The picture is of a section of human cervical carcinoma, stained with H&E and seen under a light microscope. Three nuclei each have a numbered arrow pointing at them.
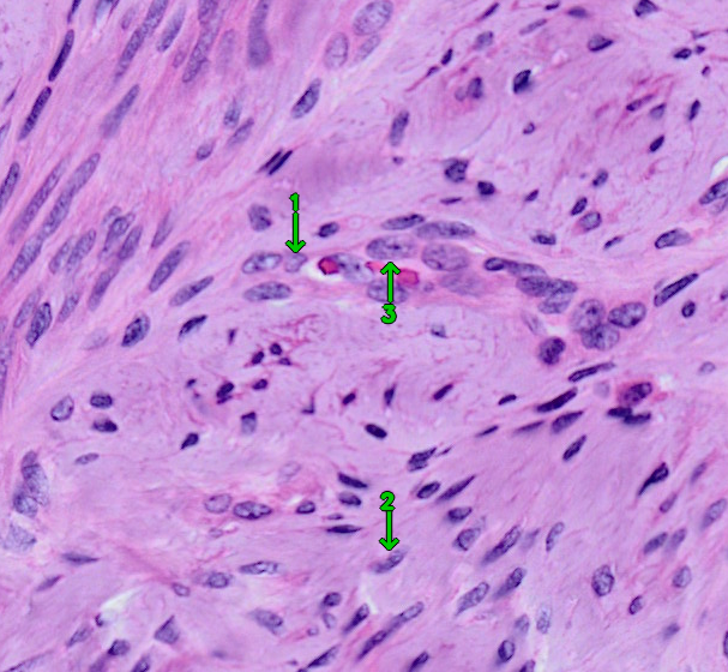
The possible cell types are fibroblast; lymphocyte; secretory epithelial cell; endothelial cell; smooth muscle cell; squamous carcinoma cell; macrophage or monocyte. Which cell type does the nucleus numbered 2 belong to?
fibroblast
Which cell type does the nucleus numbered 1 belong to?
endothelial cell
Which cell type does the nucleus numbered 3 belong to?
endothelial cell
